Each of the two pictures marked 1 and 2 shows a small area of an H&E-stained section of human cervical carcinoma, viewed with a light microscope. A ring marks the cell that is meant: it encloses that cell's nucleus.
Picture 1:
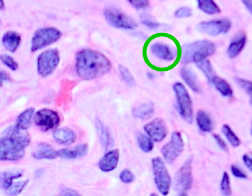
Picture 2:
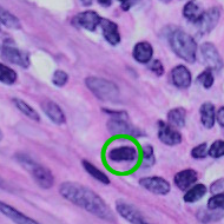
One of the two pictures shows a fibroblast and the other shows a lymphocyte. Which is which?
1: fibroblast
2: lymphocyte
